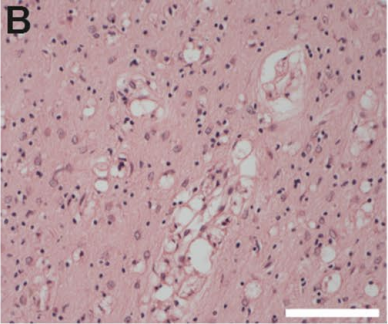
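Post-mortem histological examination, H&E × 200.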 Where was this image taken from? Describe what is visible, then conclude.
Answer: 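Clusters of cells with bubbly, clear vacuolated cytoplasm. The clusters lie around and along vessel-like channels. On this evidence: perivascular.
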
